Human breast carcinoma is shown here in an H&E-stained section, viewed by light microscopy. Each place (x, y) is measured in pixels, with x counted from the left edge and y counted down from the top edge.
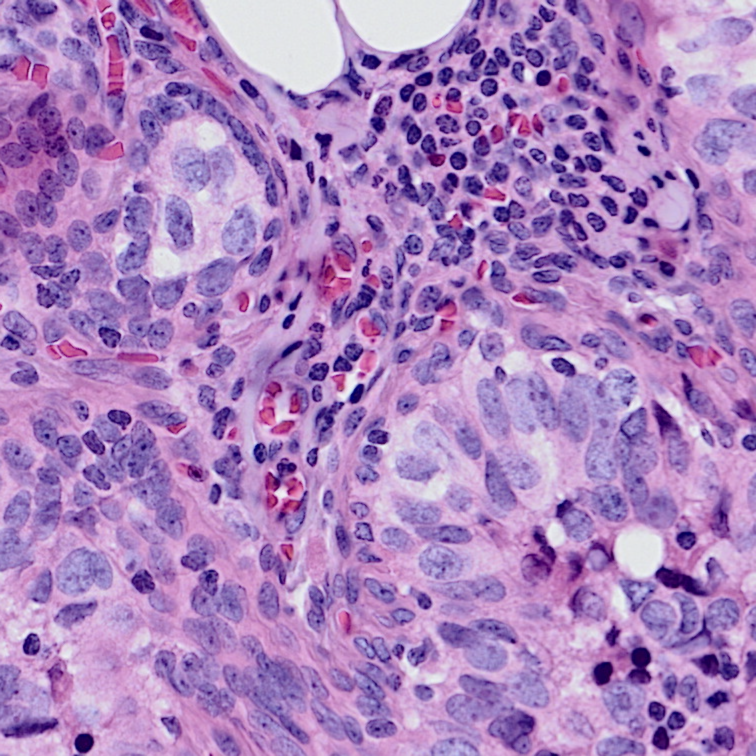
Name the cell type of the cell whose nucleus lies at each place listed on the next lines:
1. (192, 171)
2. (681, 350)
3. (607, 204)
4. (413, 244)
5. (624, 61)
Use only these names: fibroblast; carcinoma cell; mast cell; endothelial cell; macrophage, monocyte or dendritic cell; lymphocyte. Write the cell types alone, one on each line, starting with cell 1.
carcinoma cell
endothelial cell
lymphocyte
mast cell
endothelial cell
